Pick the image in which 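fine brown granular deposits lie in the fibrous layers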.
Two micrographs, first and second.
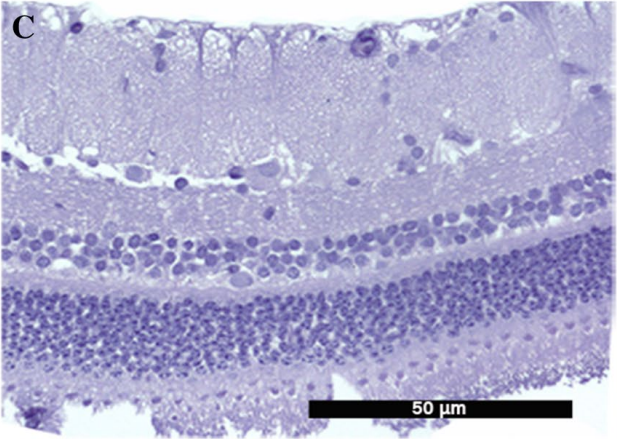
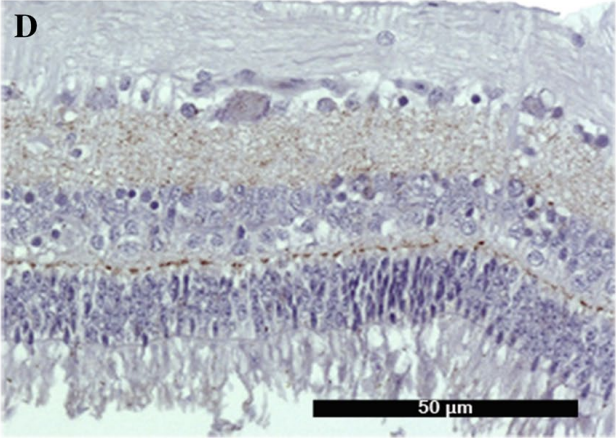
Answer: The second image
